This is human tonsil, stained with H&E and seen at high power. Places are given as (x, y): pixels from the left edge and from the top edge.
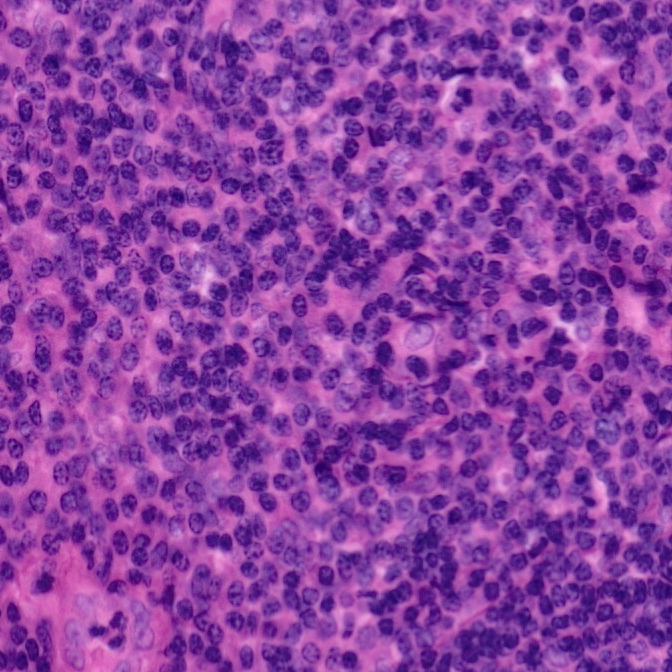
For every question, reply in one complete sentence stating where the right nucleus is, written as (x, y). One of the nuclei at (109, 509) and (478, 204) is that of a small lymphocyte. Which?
The nucleus of a small lymphocyte is the one at (478, 204).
